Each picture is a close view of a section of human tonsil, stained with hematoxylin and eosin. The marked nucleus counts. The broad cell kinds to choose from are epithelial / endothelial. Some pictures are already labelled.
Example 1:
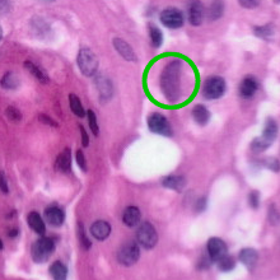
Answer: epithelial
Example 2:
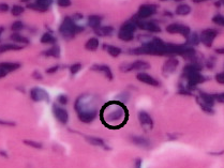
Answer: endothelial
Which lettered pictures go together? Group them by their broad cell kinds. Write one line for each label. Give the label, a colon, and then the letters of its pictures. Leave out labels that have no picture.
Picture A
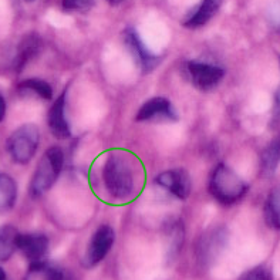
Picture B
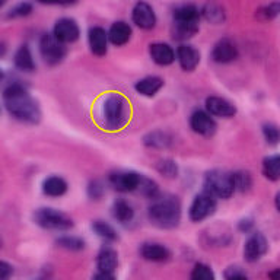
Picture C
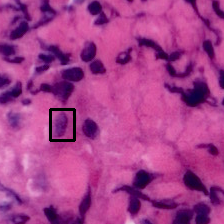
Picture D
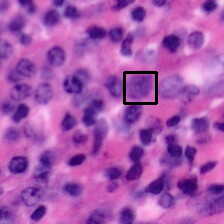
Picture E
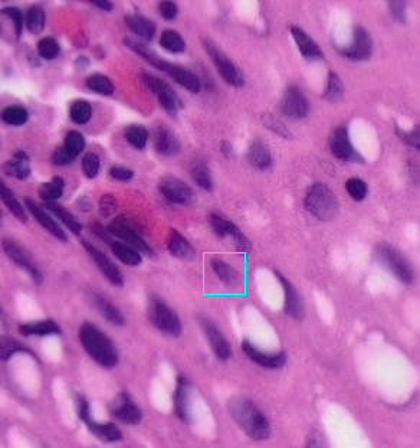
epithelial: A, E
endothelial: B, C, D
